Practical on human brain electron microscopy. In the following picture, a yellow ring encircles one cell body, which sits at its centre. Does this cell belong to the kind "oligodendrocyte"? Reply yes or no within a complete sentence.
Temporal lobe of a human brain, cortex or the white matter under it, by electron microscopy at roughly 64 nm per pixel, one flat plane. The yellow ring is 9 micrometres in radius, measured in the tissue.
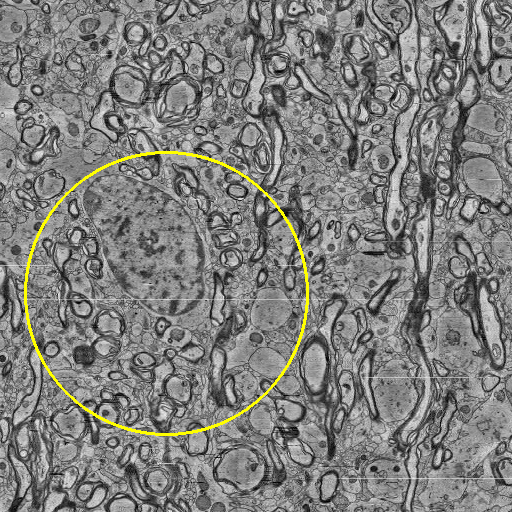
No, the cell lying within the ring at its centre is another kind.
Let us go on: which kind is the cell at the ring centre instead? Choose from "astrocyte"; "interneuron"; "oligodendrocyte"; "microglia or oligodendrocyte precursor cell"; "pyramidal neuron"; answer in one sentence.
In this picture, the ring is centred on a microglial cell or oligodendrocyte precursor cell.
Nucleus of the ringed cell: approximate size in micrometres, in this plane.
Roughly 10 micrometres by 6 micrometres, so the nucleus is clearly longer than it is wide in this plane.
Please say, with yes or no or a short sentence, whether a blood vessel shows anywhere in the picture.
No, none appears.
